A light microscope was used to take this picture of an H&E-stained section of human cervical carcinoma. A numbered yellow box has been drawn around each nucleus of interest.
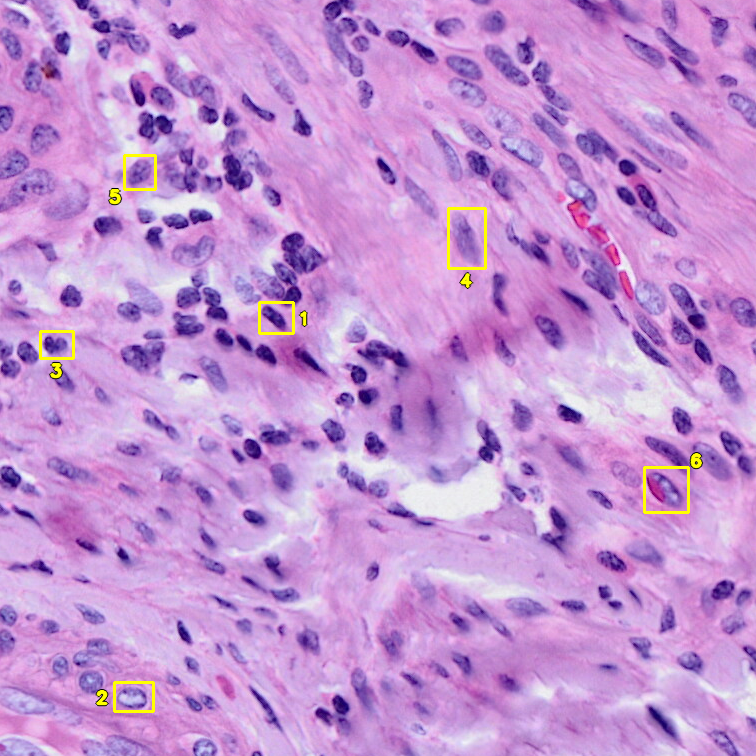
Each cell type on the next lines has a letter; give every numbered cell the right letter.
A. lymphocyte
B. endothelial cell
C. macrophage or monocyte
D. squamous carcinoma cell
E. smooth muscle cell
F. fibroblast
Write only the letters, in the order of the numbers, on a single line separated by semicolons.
A; E; A; F; C; B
